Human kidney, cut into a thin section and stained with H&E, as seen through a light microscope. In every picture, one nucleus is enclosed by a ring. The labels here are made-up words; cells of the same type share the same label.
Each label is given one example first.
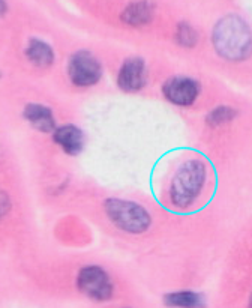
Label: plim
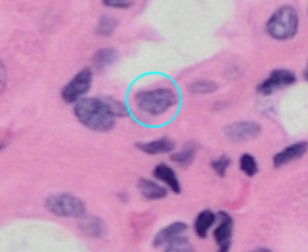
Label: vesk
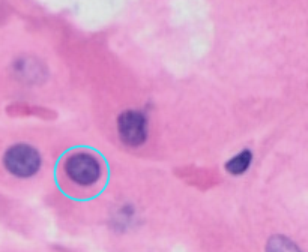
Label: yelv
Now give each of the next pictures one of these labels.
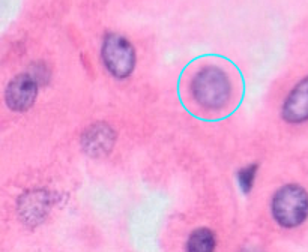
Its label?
yelv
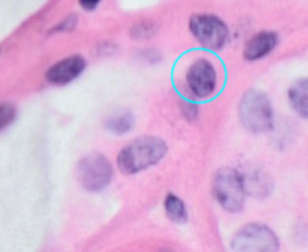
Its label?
vesk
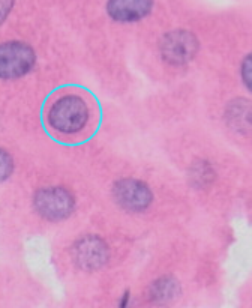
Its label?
yelv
